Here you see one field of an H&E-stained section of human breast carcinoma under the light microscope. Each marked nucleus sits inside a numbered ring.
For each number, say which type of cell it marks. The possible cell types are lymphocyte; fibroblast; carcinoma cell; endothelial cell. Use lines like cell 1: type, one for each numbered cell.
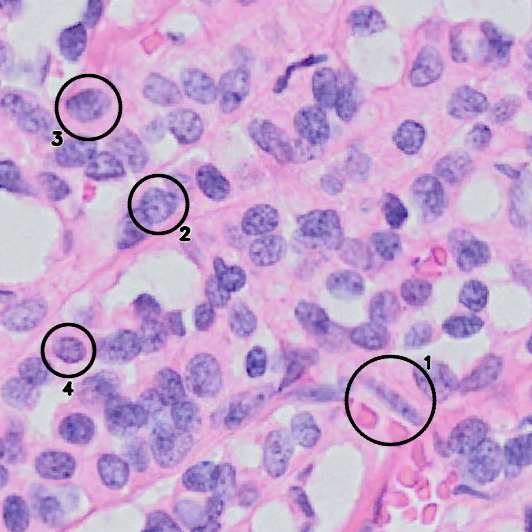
cell 1: endothelial cell
cell 2: carcinoma cell
cell 3: carcinoma cell
cell 4: carcinoma cell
